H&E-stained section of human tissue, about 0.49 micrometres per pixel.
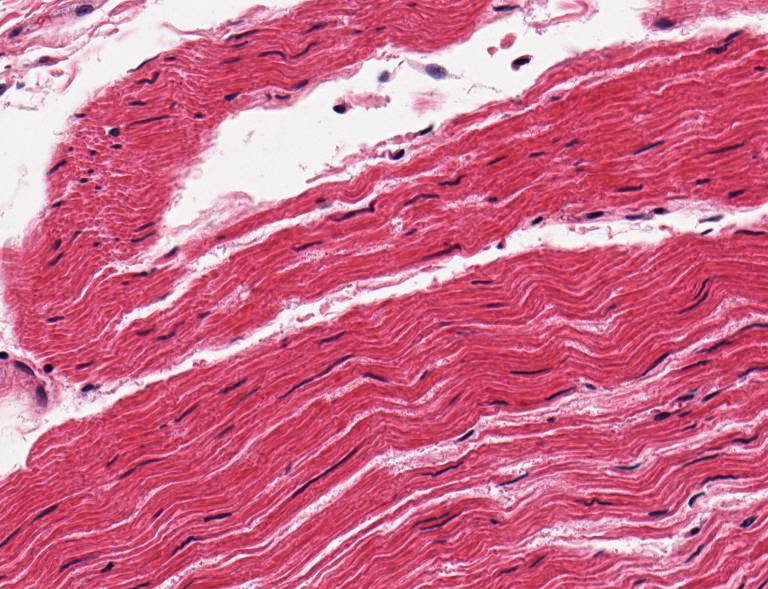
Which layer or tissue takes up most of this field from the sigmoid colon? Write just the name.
smooth muscle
